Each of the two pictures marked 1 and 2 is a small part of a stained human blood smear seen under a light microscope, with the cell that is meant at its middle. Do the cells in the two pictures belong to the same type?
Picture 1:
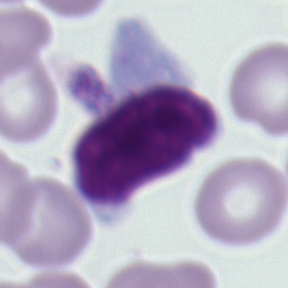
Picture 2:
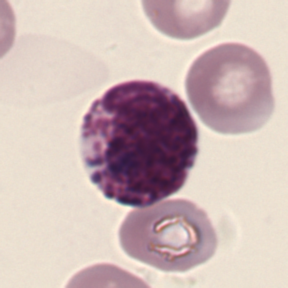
no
